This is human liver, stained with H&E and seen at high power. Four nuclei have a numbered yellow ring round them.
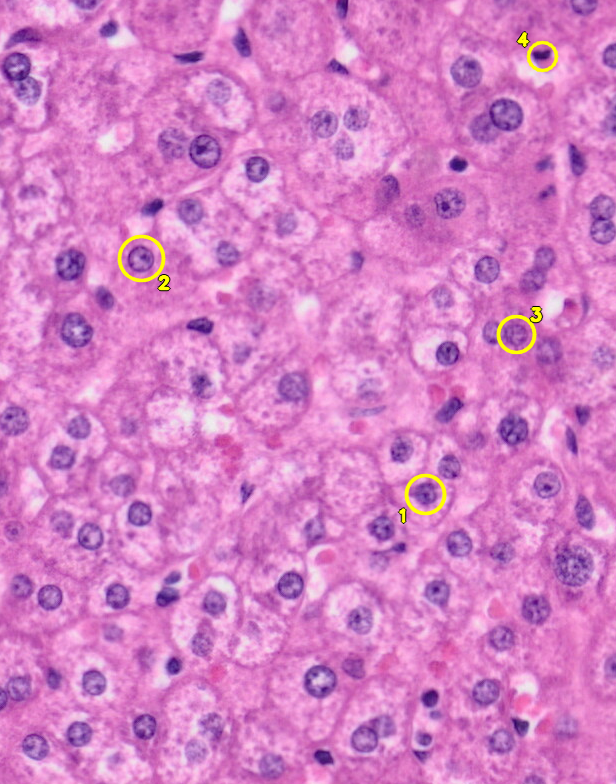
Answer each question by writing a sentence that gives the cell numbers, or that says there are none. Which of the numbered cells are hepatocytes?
Here, the cells that carry numbers 1, 2 and 3 are hepatocytes.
